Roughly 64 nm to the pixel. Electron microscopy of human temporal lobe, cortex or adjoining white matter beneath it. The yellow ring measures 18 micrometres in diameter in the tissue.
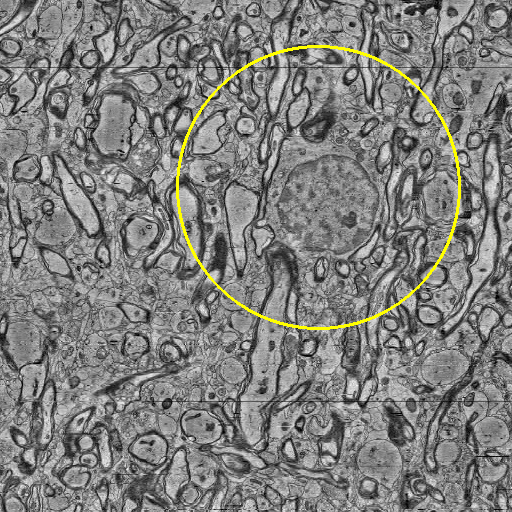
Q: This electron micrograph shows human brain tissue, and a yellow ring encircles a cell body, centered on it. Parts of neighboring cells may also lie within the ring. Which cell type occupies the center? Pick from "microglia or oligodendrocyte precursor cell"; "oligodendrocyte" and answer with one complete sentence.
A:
What sits at the ring's center in this micrograph is an oligodendrocyte, among those choices.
